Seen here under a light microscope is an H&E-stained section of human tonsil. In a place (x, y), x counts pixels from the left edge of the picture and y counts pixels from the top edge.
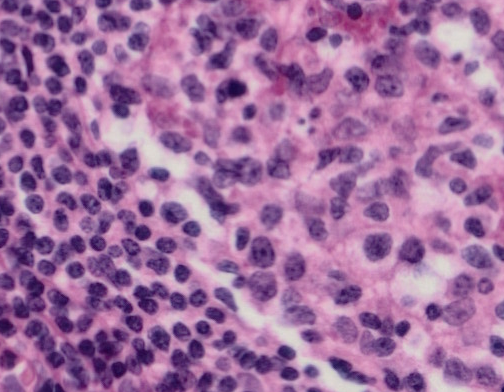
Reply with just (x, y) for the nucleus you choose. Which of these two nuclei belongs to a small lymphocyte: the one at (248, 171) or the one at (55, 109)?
(55, 109)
